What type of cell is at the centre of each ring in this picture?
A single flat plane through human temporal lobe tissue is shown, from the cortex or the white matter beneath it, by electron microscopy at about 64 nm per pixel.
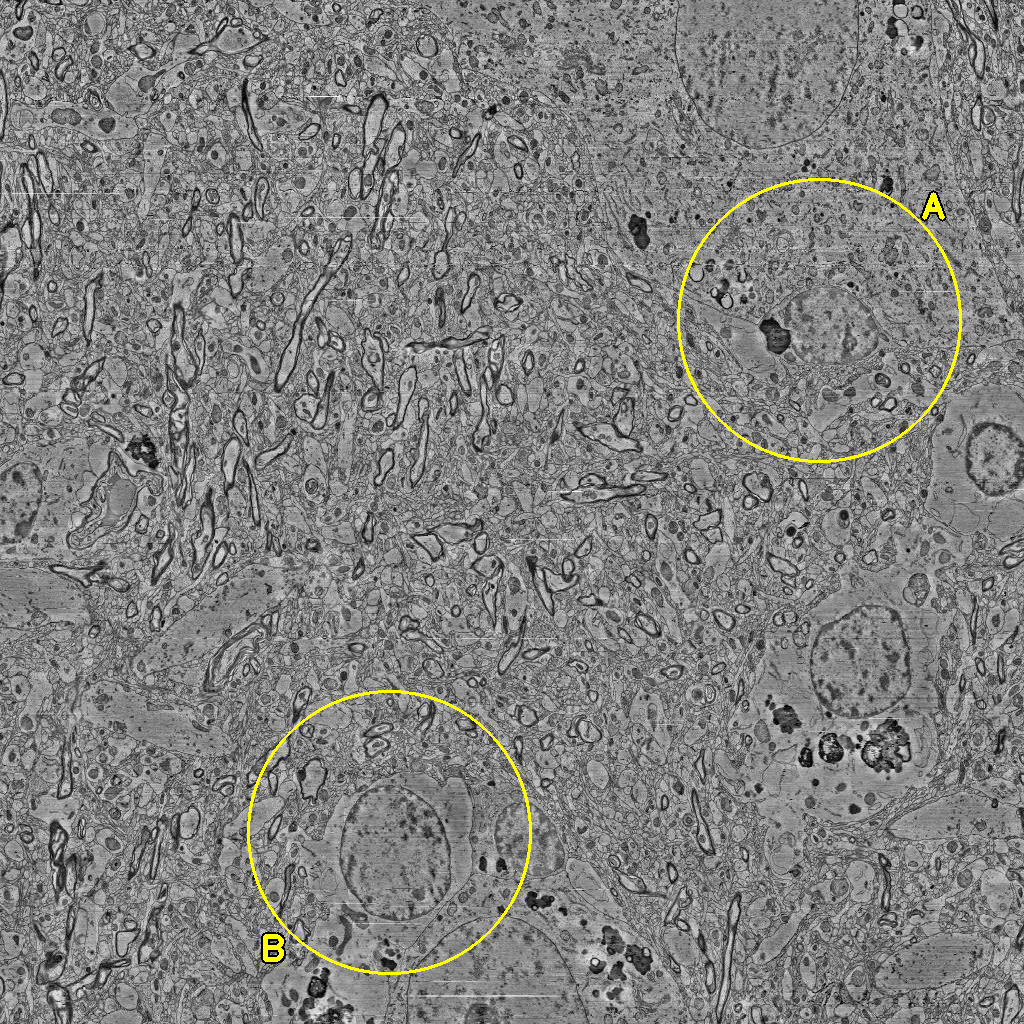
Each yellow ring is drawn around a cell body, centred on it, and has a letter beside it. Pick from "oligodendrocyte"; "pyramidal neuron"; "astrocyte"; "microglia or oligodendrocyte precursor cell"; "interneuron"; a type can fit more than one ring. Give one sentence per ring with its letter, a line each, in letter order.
The ring marked A is centred on an oligodendrocyte.
The ring marked B is centred on an astrocyte.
